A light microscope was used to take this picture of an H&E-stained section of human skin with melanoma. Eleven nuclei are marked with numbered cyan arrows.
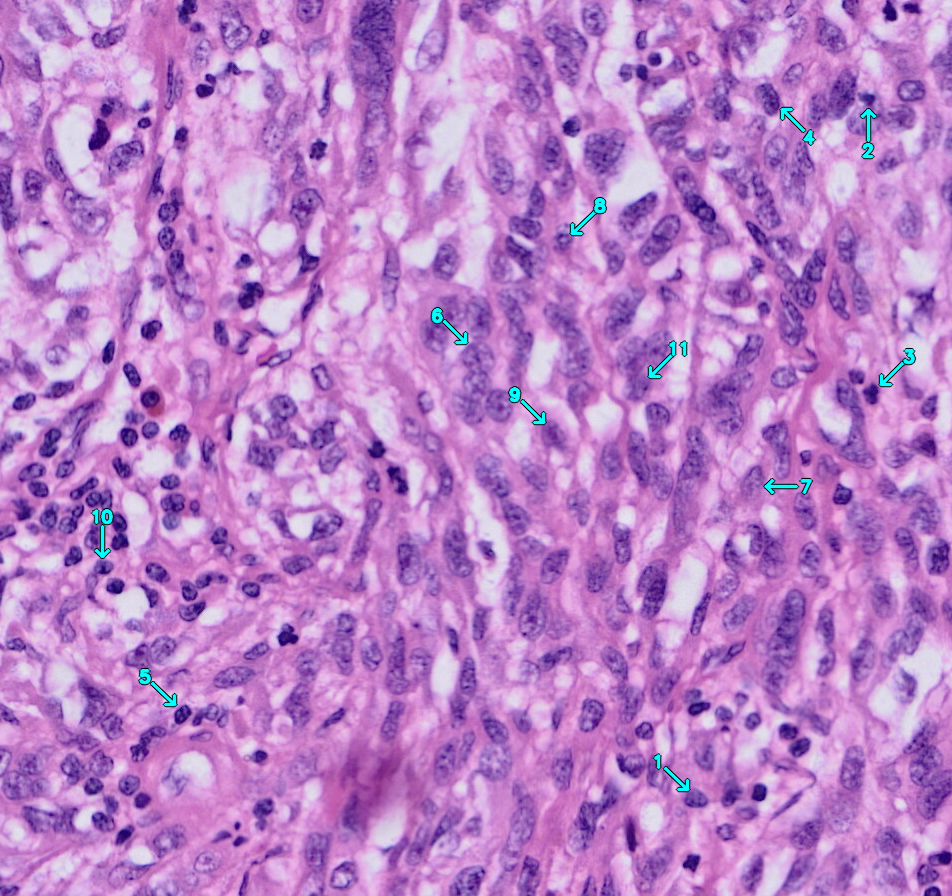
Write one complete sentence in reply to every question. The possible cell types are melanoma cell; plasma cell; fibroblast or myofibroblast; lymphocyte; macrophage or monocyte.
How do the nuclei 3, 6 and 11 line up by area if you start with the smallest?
The order from the smallest nucleus to the largest is 3, 11, 6.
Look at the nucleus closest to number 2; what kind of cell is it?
Closest to number 2 lies the nucleus of a melanoma cell.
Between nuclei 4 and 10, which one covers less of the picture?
Number 10 is smaller, since number 4 takes up about 2 times as much area.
